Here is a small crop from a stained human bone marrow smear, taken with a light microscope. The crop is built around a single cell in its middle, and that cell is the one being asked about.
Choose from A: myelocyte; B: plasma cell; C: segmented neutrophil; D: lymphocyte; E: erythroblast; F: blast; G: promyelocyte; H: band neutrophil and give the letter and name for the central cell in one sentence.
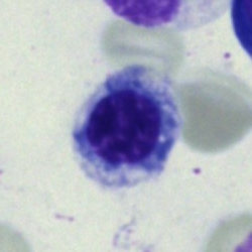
The cell positioned centrally is an erythroblast, as given in option E, which is correct.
